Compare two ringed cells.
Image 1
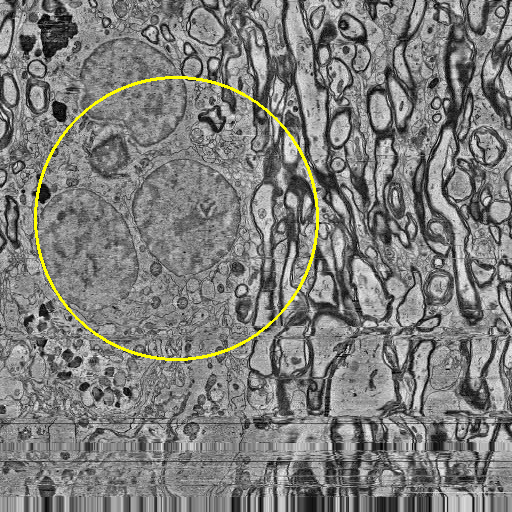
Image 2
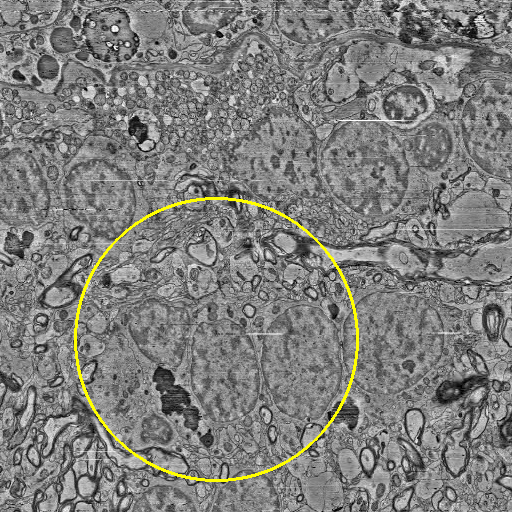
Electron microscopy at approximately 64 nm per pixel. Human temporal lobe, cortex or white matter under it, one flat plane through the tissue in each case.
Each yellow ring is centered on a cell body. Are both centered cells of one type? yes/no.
yes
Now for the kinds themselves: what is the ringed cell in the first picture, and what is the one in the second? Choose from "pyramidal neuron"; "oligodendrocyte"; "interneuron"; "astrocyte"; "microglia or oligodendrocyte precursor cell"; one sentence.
In each picture the ringed cell is an oligodendrocyte.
